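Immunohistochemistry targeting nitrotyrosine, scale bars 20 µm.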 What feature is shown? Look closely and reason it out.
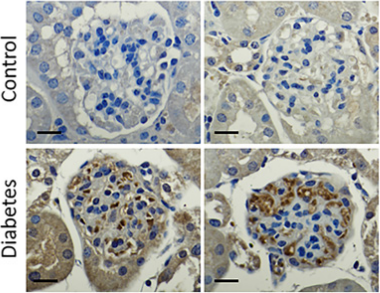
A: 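Glomeruli. Each image is centred on a rounded tuft of capillary loops packed with nuclei. A clear space separates each tuft from a surrounding capsule. Tubules with cuboidal epithelium lie around the tufts.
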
